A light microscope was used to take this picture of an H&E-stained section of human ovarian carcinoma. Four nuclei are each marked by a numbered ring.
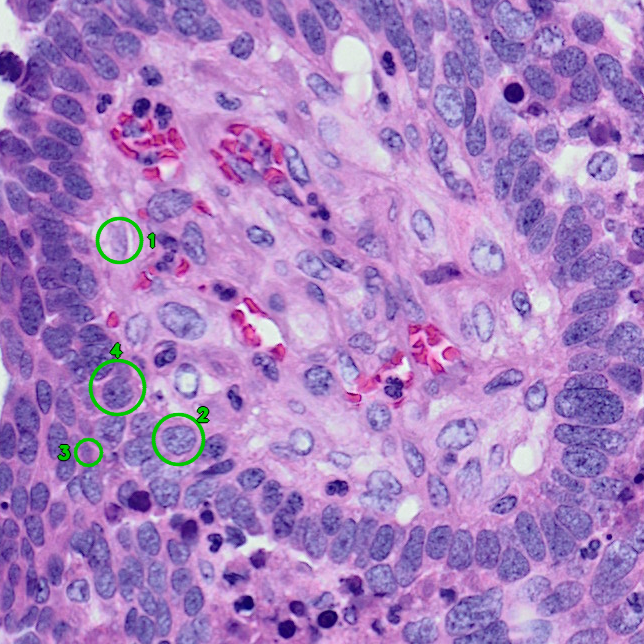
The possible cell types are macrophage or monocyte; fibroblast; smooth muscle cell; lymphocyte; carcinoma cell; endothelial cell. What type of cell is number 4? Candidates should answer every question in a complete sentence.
Number 4 among the marked cells is a carcinoma cell.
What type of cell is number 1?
Cell 1, among those numbered, is a fibroblast.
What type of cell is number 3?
Cell 3, as marked in the section, is a carcinoma cell.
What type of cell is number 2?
Nucleus 2 in this section belongs to a carcinoma cell.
